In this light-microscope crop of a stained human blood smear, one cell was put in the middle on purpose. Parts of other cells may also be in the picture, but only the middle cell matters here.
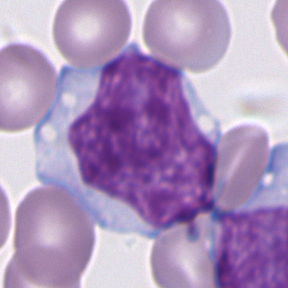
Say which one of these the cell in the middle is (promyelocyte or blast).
blast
